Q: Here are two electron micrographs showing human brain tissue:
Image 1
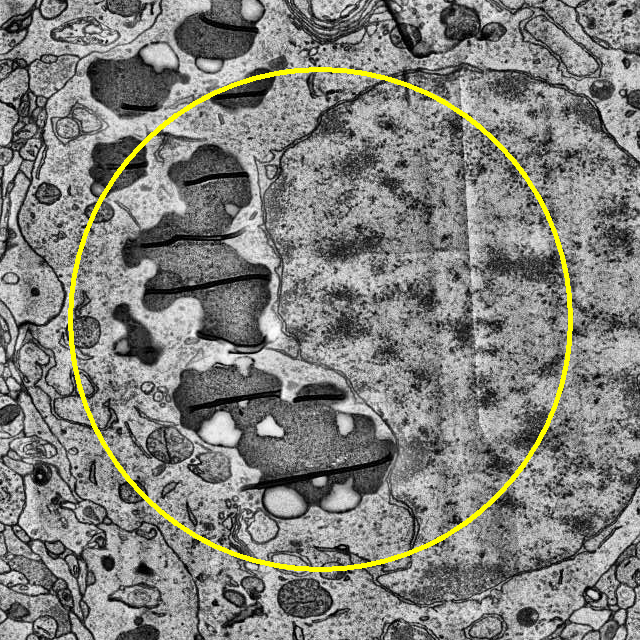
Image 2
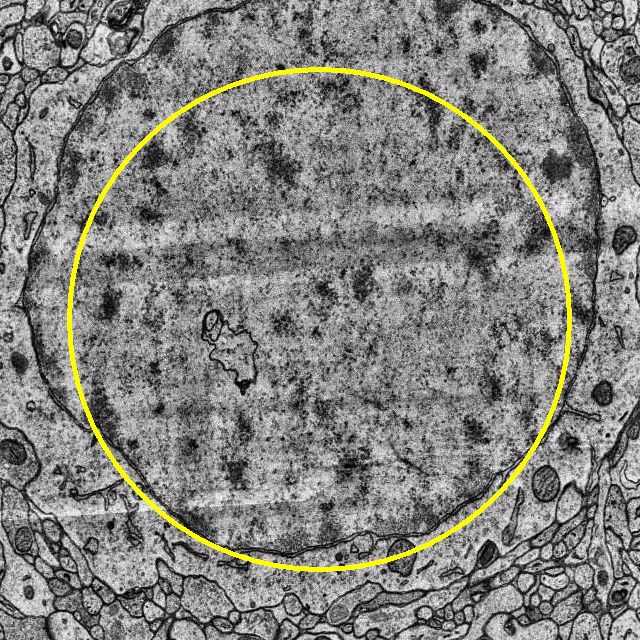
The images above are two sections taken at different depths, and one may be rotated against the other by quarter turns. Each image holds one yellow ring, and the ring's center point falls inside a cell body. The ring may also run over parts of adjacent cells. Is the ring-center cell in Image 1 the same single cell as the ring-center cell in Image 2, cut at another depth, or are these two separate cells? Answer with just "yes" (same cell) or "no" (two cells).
yes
